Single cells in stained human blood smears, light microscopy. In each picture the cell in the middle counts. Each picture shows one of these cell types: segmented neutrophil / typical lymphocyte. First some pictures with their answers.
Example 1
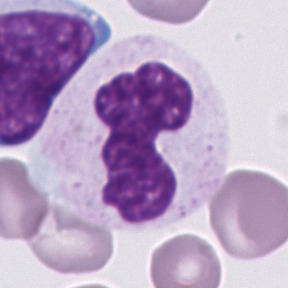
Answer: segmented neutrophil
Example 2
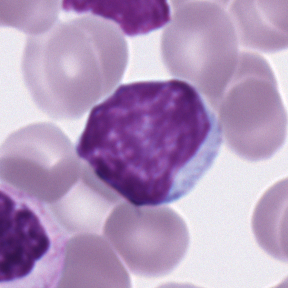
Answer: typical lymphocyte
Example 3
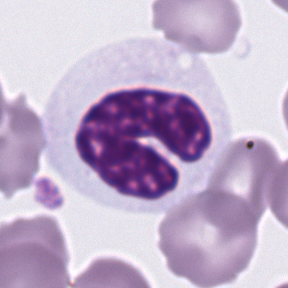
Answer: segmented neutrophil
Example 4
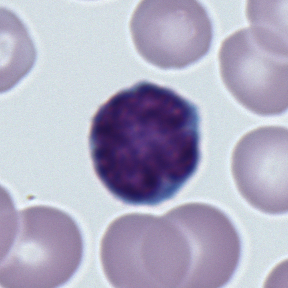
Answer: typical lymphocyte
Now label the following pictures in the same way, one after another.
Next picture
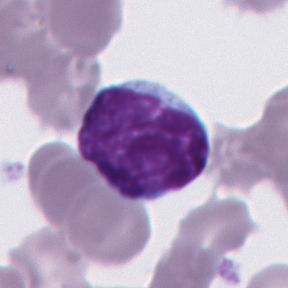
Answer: typical lymphocyte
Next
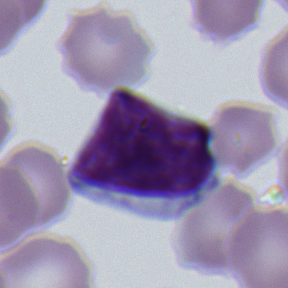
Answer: typical lymphocyte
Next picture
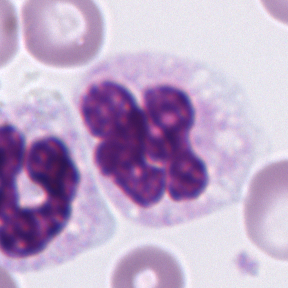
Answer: segmented neutrophil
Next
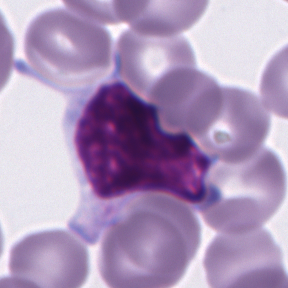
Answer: typical lymphocyte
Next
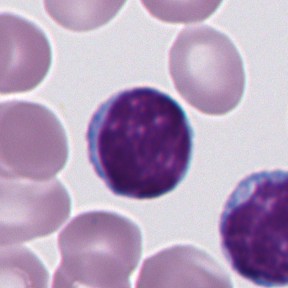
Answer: typical lymphocyte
